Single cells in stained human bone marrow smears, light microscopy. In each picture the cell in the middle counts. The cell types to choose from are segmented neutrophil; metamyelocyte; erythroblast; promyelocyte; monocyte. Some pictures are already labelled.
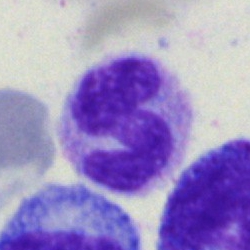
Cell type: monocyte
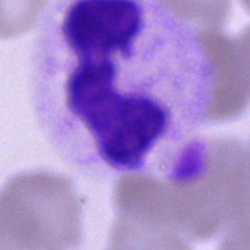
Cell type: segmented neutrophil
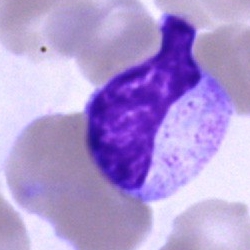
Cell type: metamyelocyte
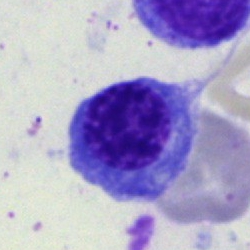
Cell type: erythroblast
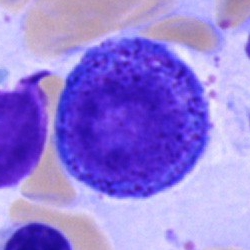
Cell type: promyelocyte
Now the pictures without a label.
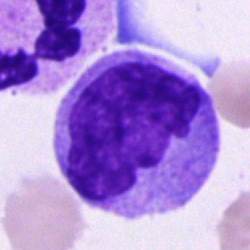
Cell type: monocyte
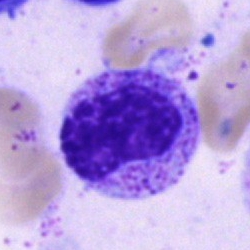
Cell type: metamyelocyte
